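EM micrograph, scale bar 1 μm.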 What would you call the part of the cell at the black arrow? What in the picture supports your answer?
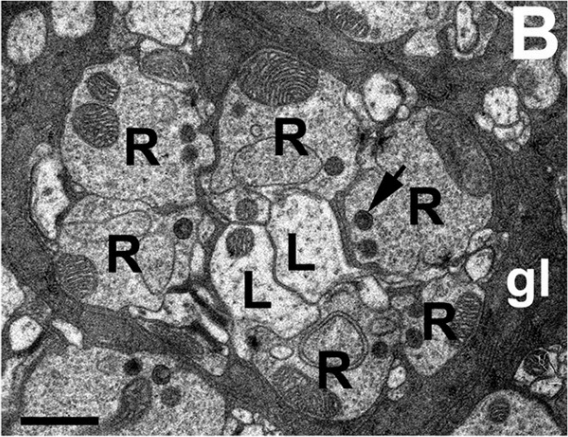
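The arrow points to small round dark profiles lying inside a pale terminal profile. Similar small dark profiles sit within several of the pale terminals.
Capitate projections.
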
